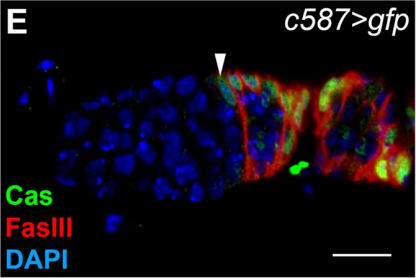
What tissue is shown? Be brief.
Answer: Germarium.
